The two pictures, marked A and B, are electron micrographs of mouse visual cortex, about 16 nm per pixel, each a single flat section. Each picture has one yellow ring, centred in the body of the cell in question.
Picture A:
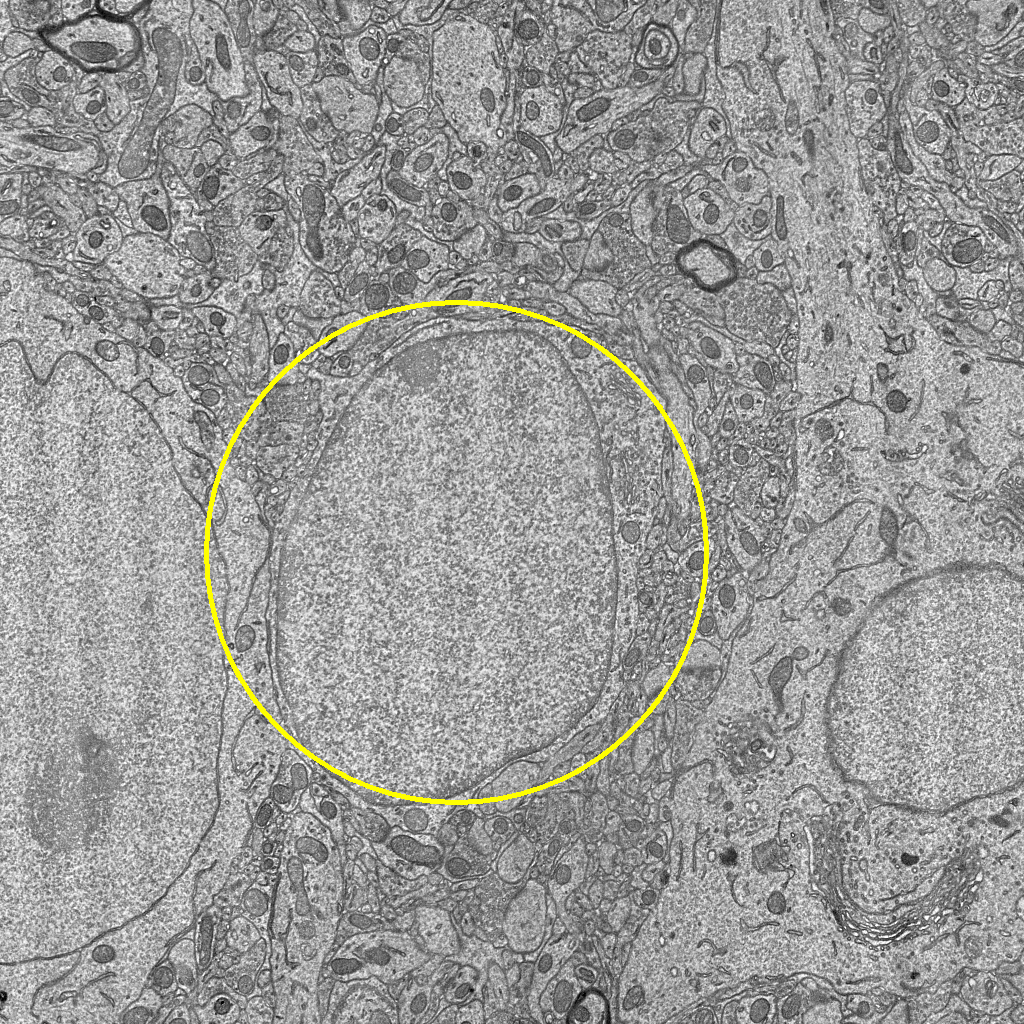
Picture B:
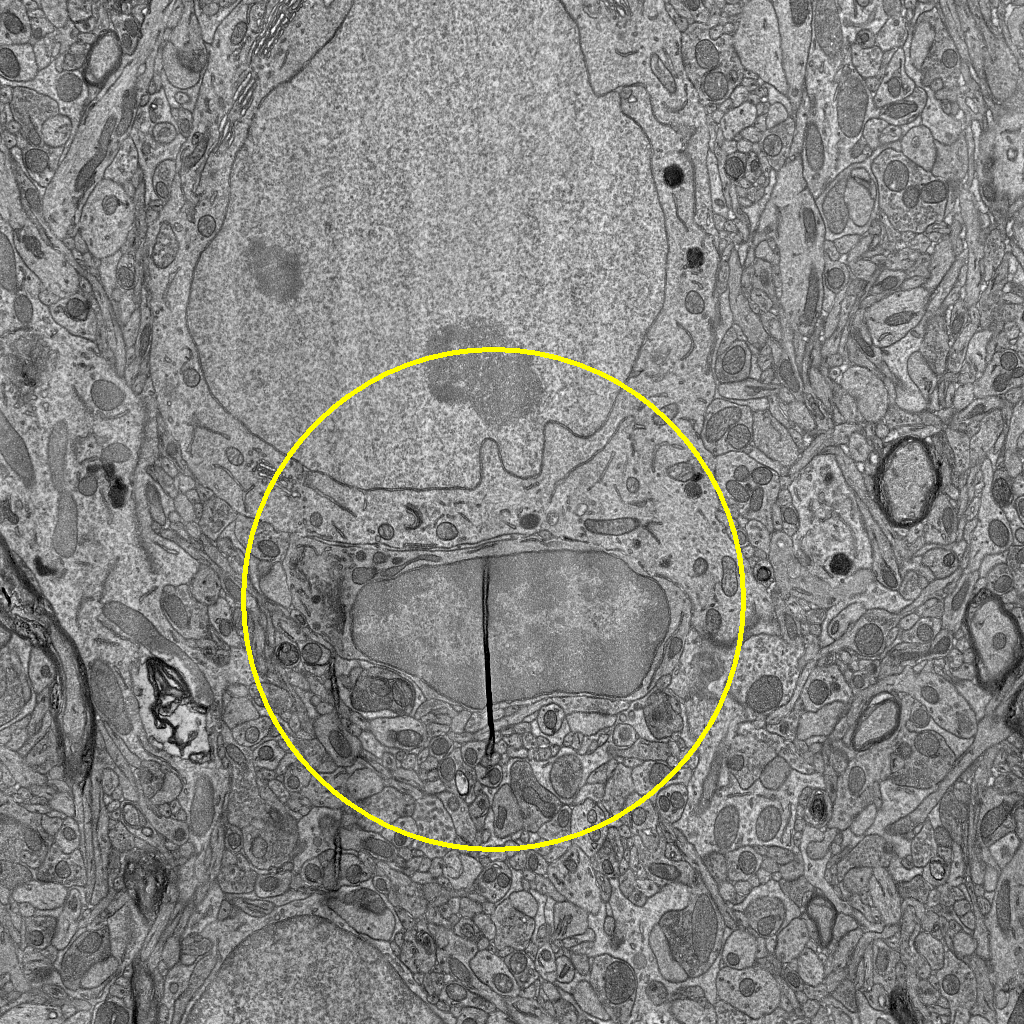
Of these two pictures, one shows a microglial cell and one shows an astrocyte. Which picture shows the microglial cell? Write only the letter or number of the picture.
B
